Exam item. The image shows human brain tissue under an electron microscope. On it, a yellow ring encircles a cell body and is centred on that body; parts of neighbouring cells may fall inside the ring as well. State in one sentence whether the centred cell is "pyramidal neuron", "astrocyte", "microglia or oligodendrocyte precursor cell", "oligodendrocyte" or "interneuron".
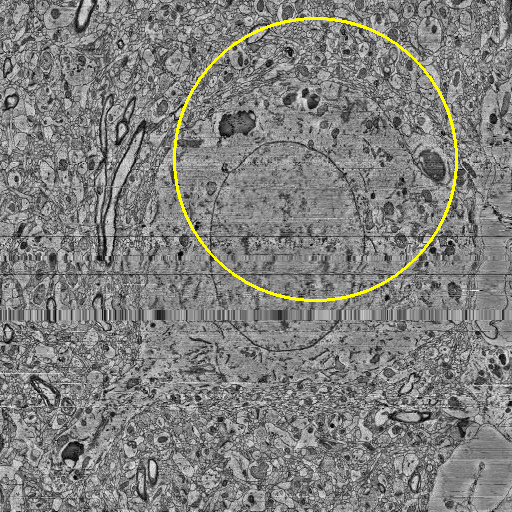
The cell body centred in the ring is a pyramidal neuron.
